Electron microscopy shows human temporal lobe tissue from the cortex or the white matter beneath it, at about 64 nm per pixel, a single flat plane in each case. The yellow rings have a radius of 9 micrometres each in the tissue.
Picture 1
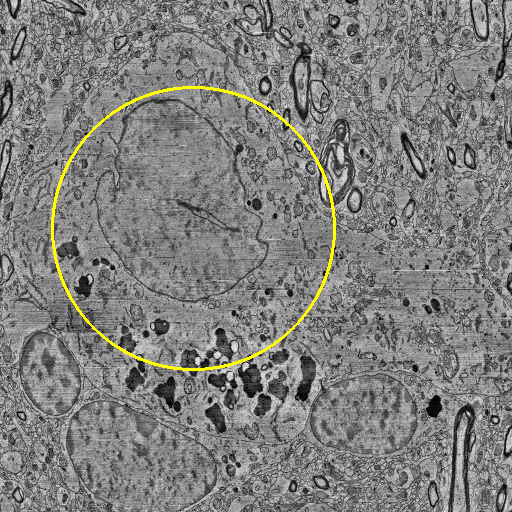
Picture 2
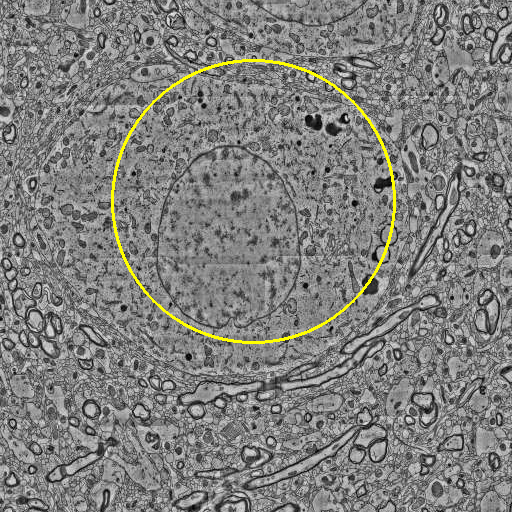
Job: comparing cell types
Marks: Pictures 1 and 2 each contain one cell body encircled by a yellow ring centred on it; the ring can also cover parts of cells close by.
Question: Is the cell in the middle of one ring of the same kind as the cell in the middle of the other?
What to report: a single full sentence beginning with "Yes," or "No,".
Yes, the cell at the ring centre in Picture 1 and its partner in Picture 2 are of one kind.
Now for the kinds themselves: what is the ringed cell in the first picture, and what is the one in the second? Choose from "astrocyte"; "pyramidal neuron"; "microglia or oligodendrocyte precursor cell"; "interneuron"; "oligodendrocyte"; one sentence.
The second cell is a pyramidal neuron, just as the first is.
